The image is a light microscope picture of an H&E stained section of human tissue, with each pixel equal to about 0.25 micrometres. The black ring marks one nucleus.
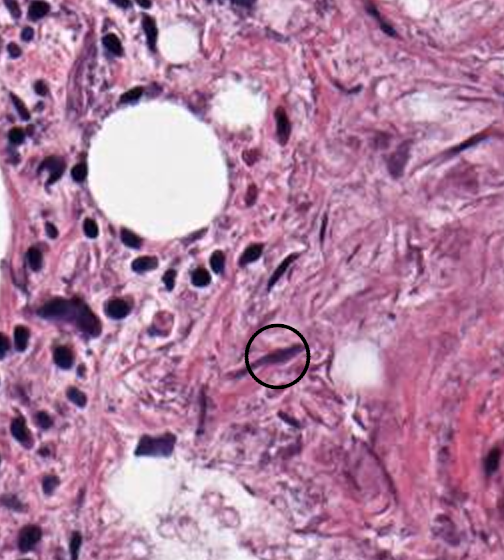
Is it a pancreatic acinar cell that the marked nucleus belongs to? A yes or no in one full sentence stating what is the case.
No, the marked nucleus is the nucleus of a supporting cell rather than of a pancreatic acinar cell.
